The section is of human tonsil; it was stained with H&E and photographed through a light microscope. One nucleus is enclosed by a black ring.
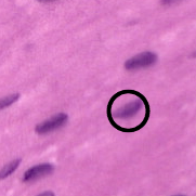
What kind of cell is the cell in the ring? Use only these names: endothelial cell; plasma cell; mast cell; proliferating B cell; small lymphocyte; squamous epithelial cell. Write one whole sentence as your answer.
In this tissue sample, the cell in the ring is a squamous epithelial cell.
